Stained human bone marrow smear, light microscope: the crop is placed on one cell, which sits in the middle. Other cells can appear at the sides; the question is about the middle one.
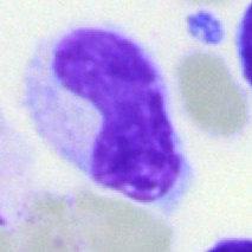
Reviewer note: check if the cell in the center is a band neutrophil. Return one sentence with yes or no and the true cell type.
Yes, the cell at the midpoint of the crop is a band neutrophil.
